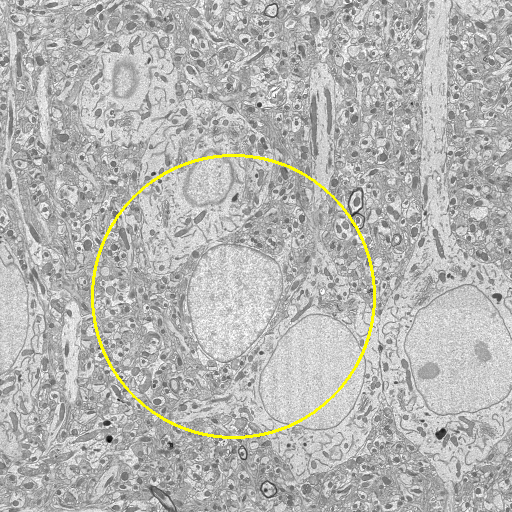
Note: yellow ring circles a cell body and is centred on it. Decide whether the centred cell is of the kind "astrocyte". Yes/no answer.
Yes, the centred cell is of that kind.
